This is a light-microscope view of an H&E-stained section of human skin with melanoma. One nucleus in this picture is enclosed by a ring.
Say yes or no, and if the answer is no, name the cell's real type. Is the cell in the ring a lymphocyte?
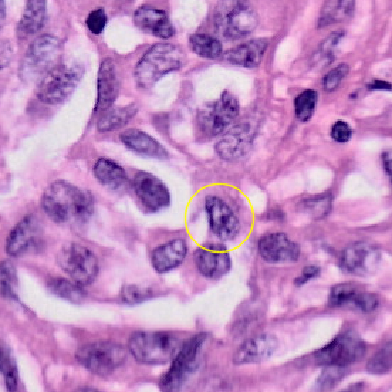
No, it is a melanoma cell.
